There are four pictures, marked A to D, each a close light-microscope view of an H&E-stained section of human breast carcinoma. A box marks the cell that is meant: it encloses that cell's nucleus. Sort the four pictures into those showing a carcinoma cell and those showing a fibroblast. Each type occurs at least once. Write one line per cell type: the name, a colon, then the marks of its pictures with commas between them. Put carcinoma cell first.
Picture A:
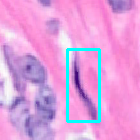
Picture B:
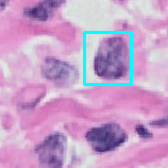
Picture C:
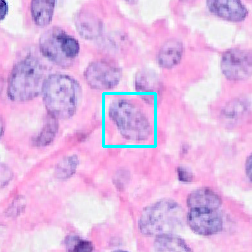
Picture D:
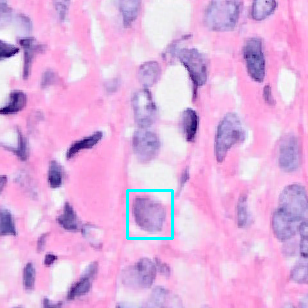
carcinoma cell: B, C, D
fibroblast: A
